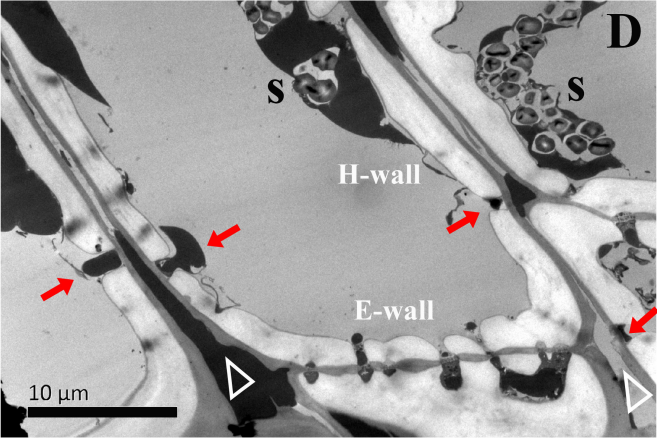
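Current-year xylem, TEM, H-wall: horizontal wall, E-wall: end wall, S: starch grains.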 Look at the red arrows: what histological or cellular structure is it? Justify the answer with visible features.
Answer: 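Blind pits. The arrows point to thin places in the walls. Dark droplets lie at or beside these thin places.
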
